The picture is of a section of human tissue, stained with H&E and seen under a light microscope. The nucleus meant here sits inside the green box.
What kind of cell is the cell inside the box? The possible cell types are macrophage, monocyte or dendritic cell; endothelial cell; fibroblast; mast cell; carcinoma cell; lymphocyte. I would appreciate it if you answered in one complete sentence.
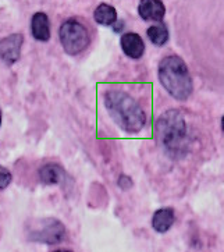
In cellular terms, the cell inside the box is a macrophage, monocyte or dendritic cell.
